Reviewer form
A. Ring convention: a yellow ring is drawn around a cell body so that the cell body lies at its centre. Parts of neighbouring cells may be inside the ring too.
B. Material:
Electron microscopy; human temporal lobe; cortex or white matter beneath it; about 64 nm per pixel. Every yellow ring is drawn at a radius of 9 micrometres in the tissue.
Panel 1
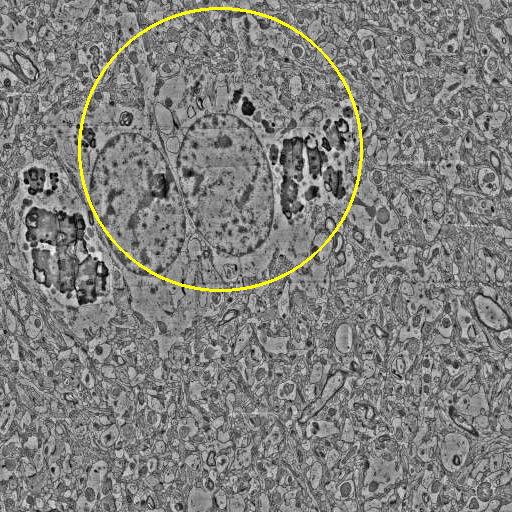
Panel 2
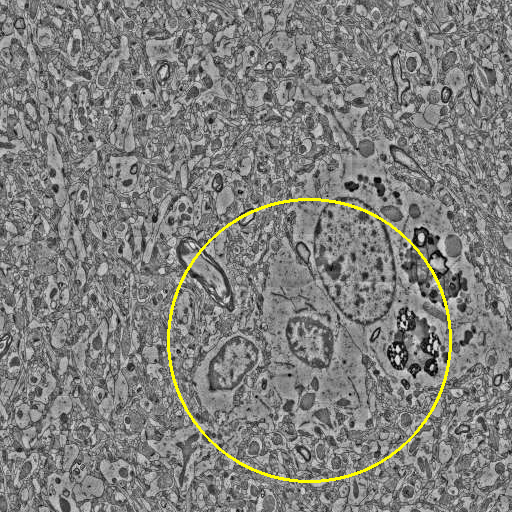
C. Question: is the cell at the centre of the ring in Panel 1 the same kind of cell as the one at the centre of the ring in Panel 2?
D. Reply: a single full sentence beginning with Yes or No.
Yes, the cells in Panel 1 and Panel 2 are the same kind of cell.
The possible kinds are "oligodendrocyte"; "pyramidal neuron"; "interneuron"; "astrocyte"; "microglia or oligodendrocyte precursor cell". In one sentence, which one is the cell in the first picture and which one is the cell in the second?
The first and the second cell are each an astrocyte.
